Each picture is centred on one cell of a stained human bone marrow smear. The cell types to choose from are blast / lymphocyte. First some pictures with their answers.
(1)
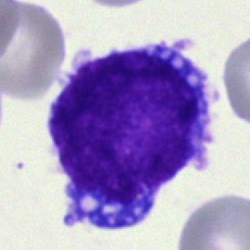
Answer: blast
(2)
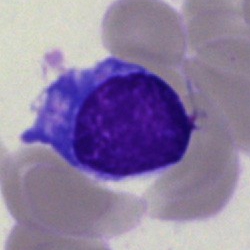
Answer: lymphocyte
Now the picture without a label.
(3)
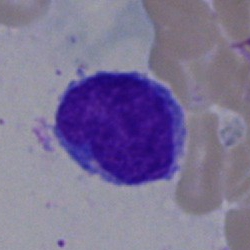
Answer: blast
